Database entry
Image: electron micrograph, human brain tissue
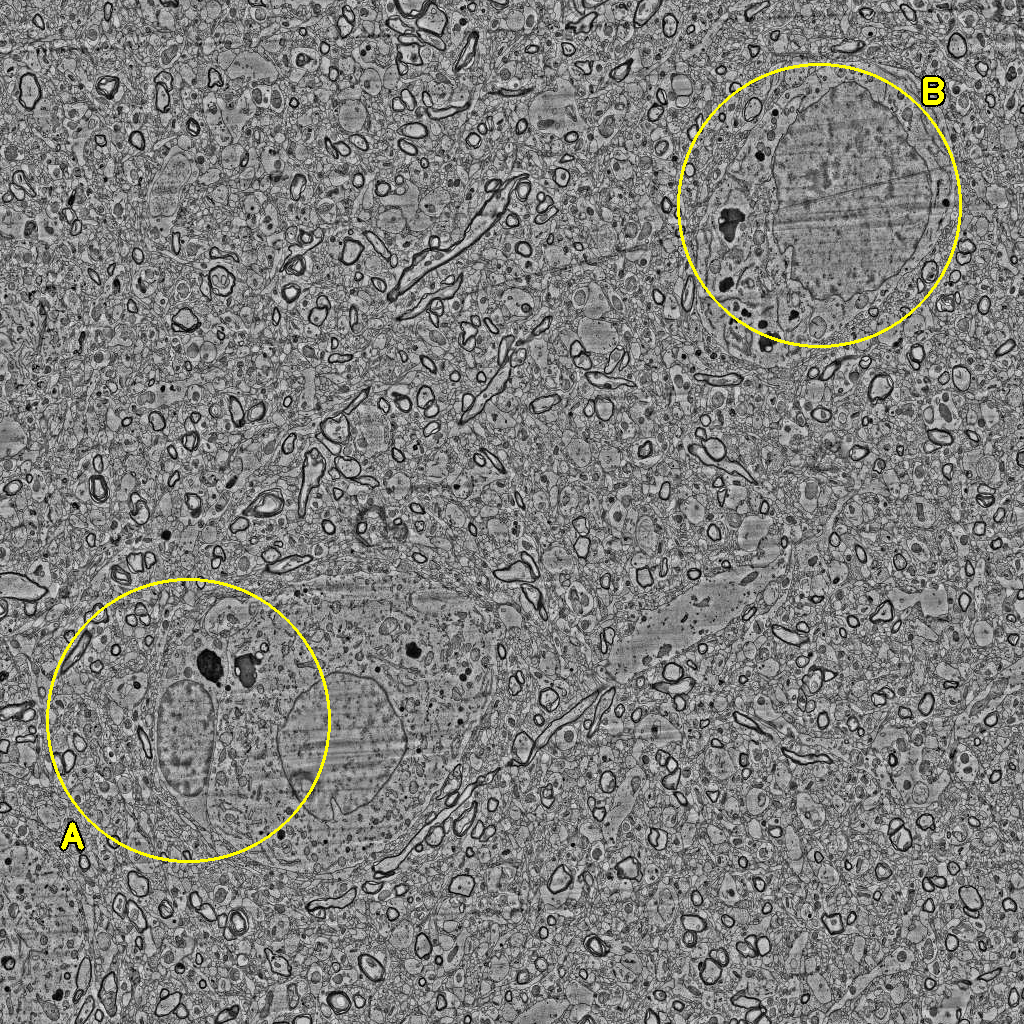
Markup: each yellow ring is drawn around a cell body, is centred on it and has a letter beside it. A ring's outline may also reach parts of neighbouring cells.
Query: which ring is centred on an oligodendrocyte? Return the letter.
A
